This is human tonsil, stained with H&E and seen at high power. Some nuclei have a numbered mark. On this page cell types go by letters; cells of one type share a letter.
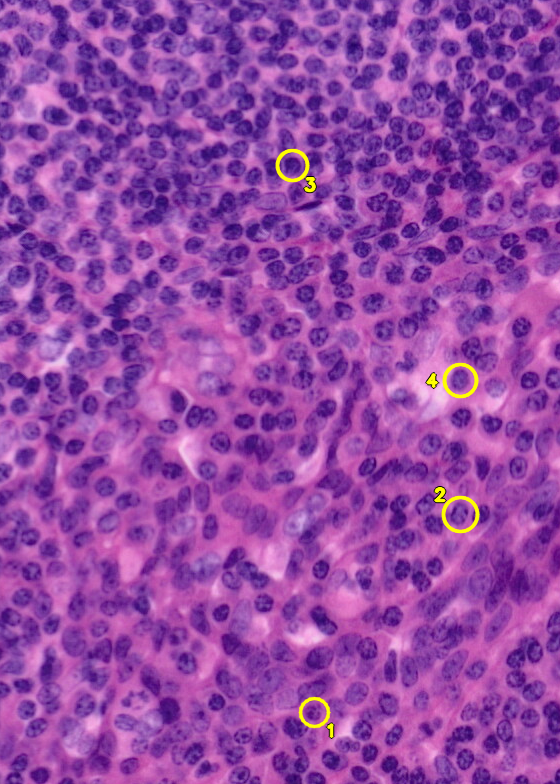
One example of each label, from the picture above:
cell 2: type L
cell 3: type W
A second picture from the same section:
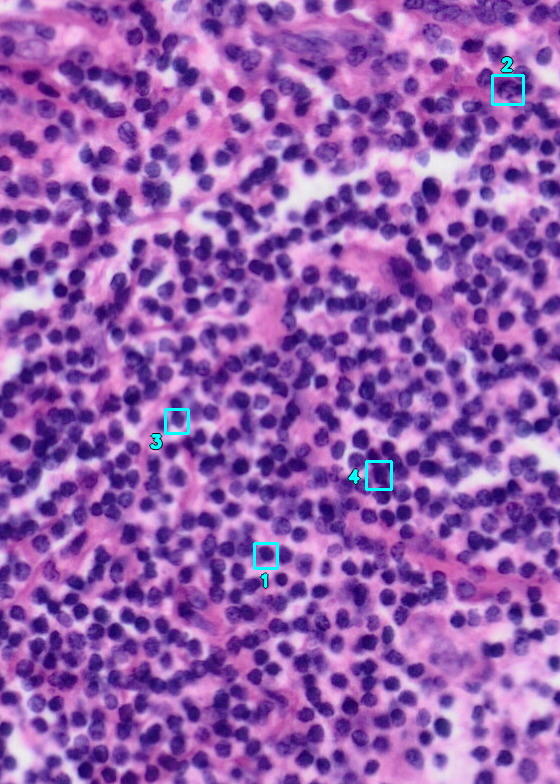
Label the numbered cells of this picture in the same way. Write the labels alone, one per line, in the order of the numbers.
type W
type L
type W
type W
